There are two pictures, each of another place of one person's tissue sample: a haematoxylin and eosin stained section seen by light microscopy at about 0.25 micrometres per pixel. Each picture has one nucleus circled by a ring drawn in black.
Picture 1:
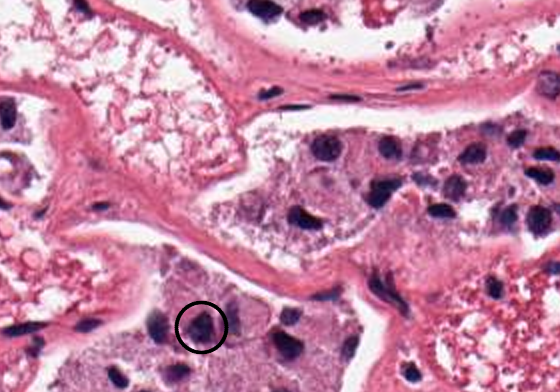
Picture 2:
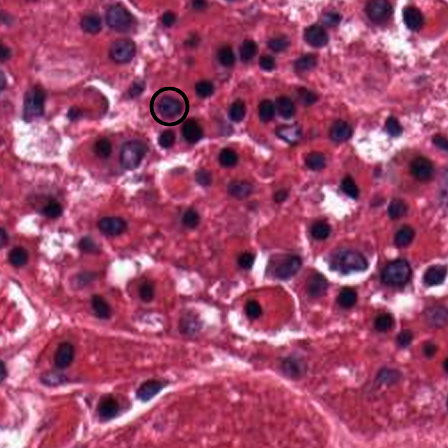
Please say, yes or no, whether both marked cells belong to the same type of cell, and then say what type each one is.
Yes, both are anterior pituitary cells.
